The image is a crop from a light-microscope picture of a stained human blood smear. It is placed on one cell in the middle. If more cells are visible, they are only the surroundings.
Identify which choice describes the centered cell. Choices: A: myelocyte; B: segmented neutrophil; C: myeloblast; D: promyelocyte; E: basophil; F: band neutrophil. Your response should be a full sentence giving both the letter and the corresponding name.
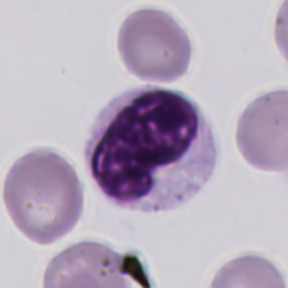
The expected answer is option F, the central cell being a band neutrophil.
